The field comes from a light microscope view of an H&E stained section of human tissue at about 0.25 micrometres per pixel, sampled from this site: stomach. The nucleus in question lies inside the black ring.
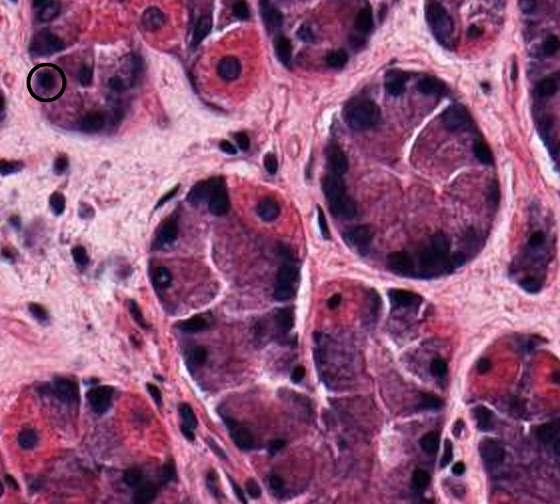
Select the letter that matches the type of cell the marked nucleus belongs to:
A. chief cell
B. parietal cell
A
